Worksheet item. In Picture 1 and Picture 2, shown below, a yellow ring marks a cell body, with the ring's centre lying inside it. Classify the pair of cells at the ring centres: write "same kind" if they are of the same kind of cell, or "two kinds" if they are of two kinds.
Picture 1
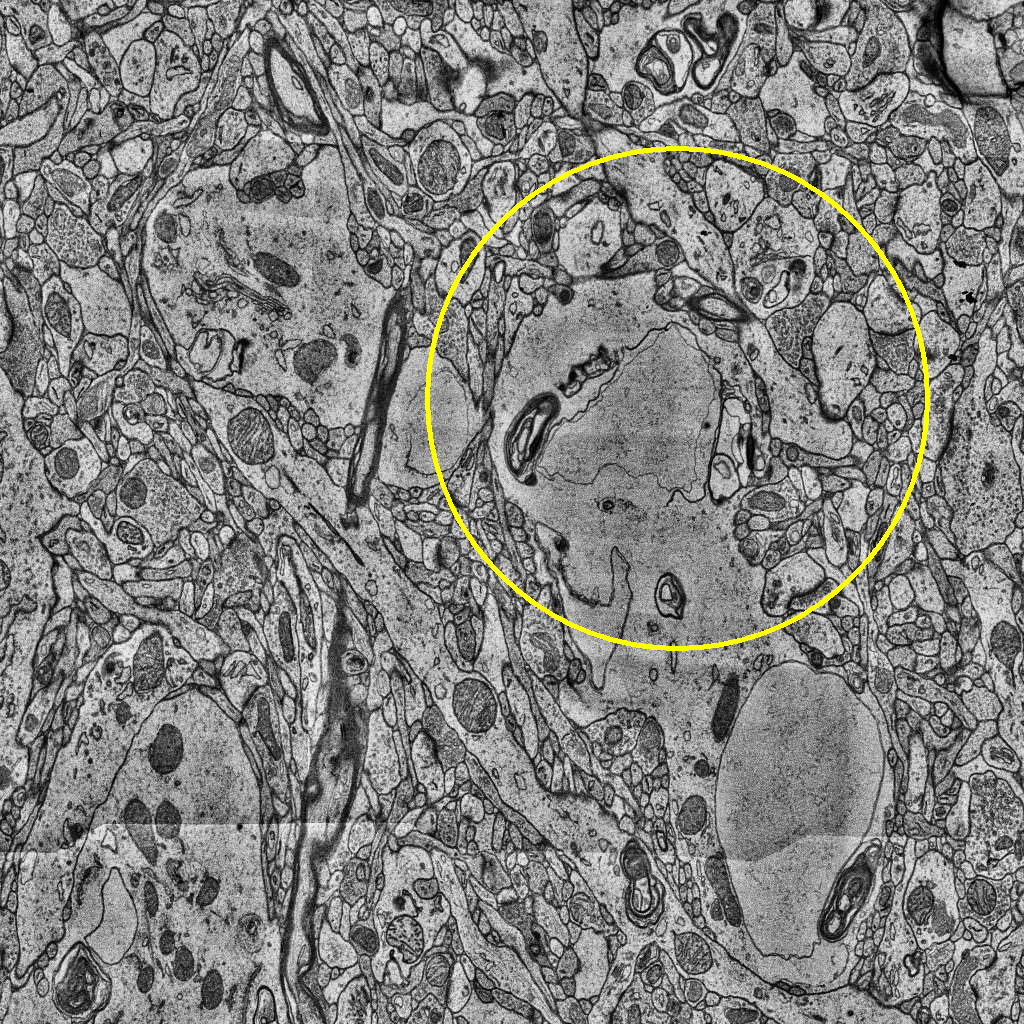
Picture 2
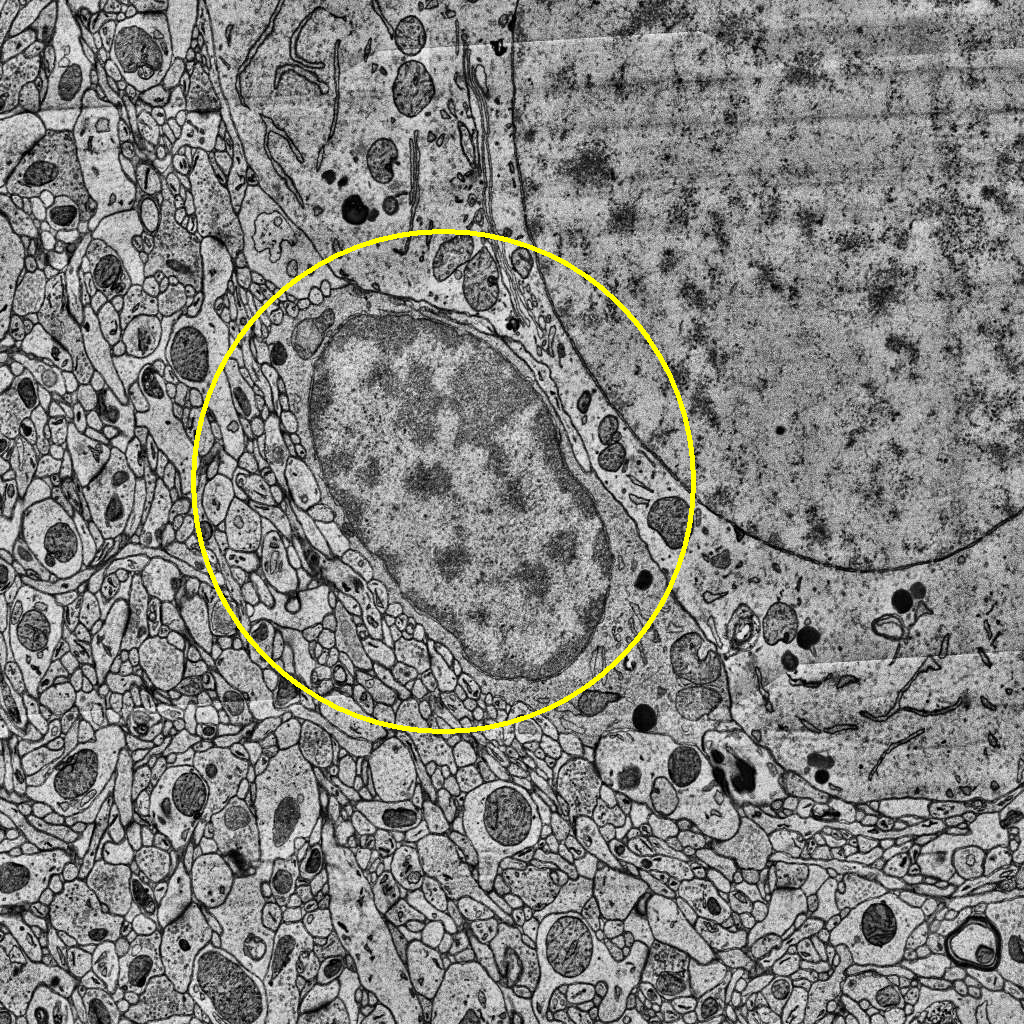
two kinds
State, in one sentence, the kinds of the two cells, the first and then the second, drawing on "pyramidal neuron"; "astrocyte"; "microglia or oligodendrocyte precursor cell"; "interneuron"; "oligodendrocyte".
The cell at the centre of the second ring is an oligodendrocyte; the first ring's cell is an astrocyte.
